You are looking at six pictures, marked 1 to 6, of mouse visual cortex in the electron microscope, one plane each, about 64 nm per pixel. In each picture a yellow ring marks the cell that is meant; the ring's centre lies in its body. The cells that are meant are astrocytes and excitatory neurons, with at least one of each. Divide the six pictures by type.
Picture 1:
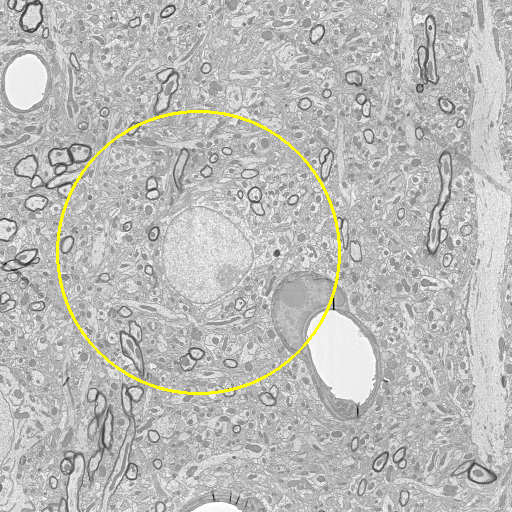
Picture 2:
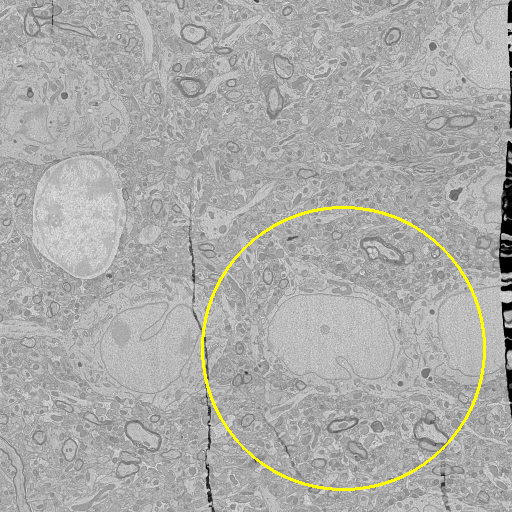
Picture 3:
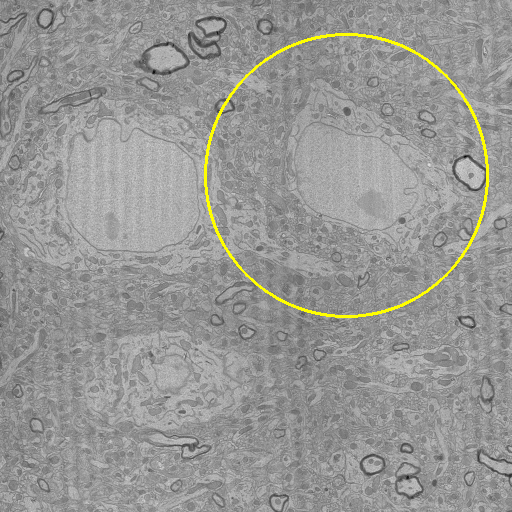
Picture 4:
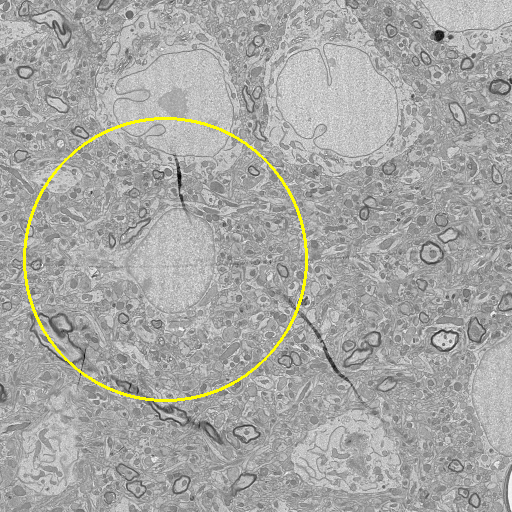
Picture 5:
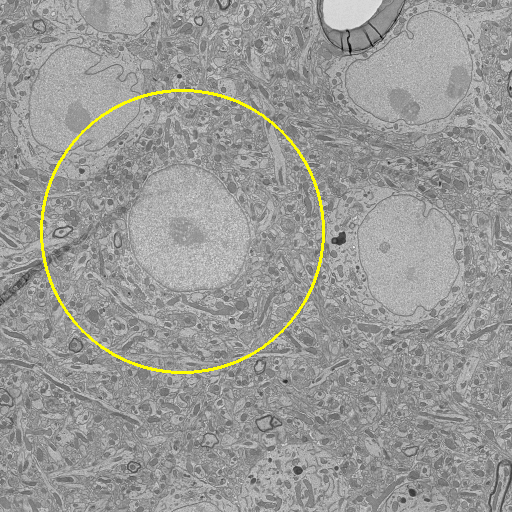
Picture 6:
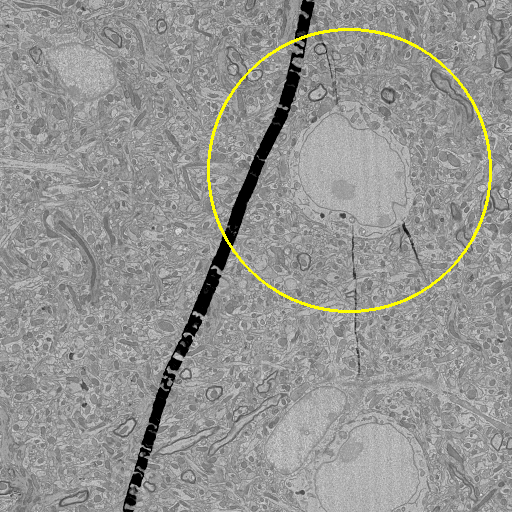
Pictures 1, 4 and 5 show astrocytes, while pictures 2, 3 and 6 show excitatory neurons.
